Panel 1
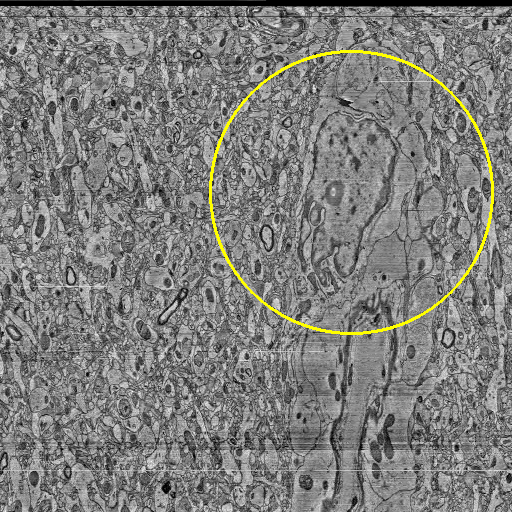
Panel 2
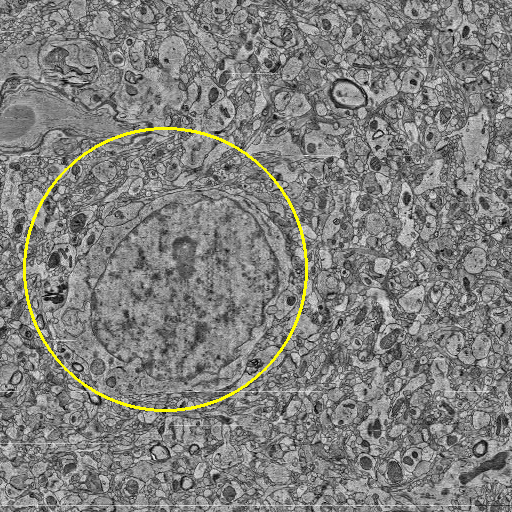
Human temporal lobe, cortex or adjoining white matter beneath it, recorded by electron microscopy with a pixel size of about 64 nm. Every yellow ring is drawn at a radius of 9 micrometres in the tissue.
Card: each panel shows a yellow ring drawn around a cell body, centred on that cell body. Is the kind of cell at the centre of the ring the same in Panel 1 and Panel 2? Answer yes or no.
no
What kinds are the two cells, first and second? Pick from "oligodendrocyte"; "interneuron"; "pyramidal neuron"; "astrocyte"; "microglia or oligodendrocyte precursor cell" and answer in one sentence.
The second picture holds an interneuron in its ring, and the first holds a microglial cell or oligodendrocyte precursor cell.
